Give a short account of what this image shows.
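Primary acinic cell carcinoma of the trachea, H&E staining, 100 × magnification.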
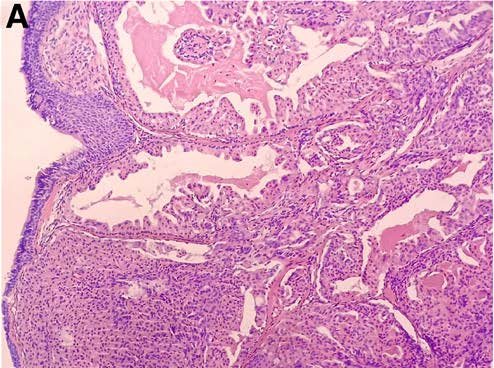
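This low-power view shows a tumour beneath a lining epithelium at the left edge, made of solid nests and small acinar and microcystic spaces. Only delicate strands of fibrous stroma separate the tumour cell groups.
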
